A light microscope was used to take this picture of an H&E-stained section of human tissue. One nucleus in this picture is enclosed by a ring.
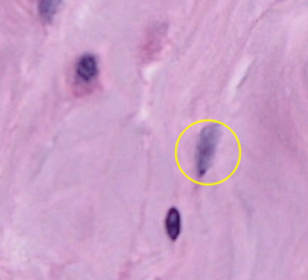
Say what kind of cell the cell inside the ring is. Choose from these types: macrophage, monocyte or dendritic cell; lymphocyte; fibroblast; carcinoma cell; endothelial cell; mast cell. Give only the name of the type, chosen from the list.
fibroblast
